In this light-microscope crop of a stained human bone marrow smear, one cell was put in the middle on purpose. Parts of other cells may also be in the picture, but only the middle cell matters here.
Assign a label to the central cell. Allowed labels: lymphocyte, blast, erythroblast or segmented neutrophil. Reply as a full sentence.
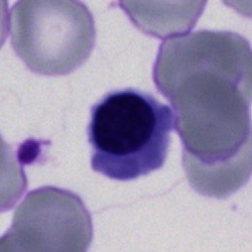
Where the crop is centred, there is an erythroblast.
